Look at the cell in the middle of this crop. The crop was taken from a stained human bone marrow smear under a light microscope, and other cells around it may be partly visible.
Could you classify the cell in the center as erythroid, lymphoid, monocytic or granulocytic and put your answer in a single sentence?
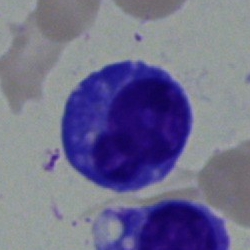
The cell found in the middle of this crop is lymphoid in lineage.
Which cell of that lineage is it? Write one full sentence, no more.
Framed in the middle of the crop is a plasma cell.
